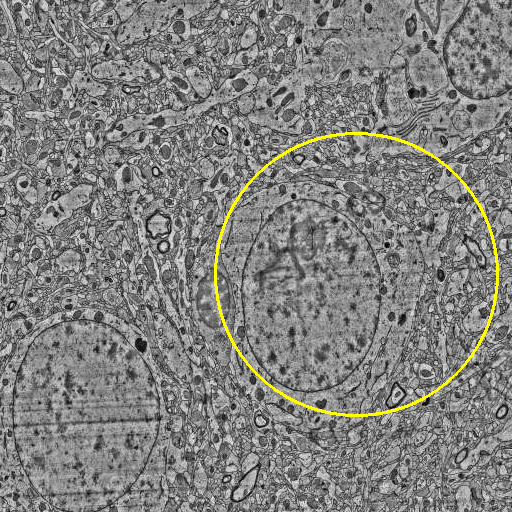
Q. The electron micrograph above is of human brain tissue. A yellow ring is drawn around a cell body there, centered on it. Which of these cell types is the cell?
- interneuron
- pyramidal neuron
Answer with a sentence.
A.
The cell under the ring's center is a pyramidal neuron.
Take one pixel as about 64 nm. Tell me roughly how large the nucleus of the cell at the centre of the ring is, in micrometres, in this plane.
In this plane, the nucleus of the cell at the centre of the ring measures about 12 by 9 micrometres.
